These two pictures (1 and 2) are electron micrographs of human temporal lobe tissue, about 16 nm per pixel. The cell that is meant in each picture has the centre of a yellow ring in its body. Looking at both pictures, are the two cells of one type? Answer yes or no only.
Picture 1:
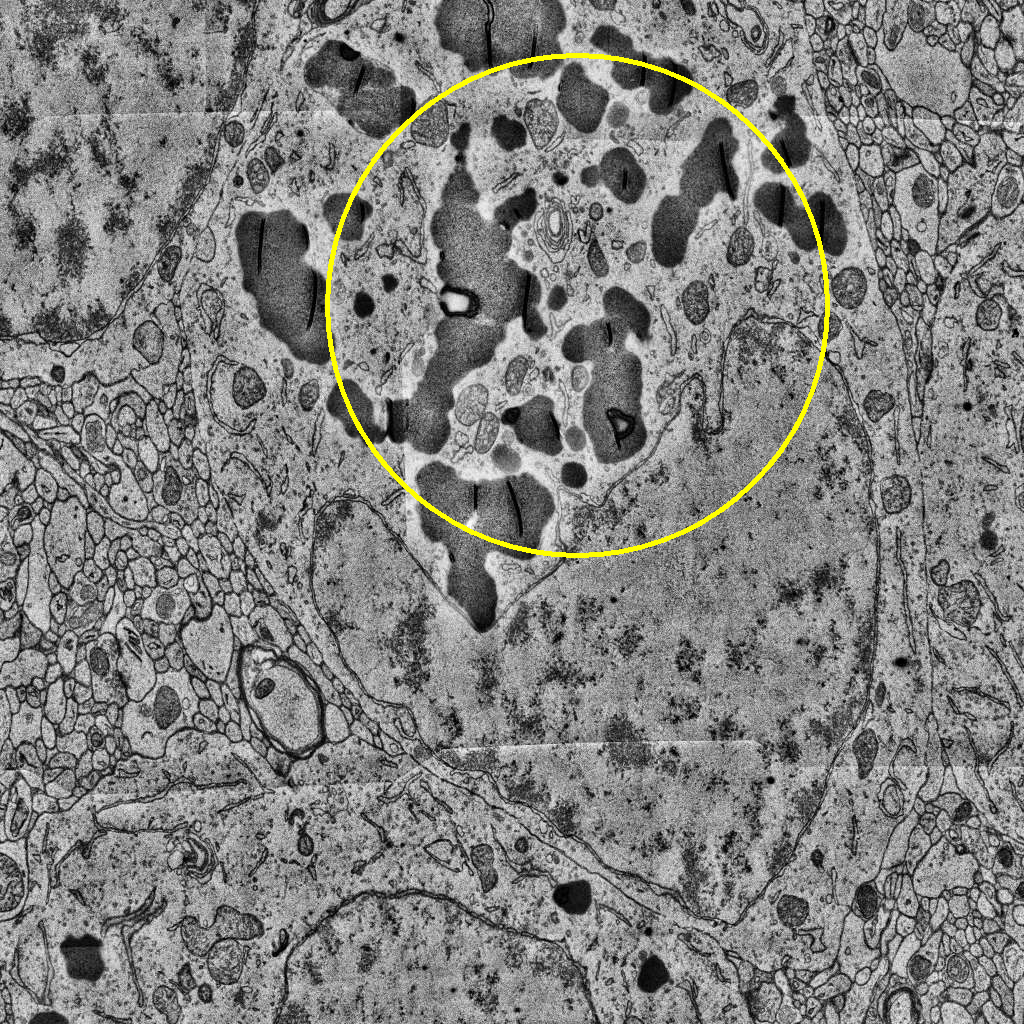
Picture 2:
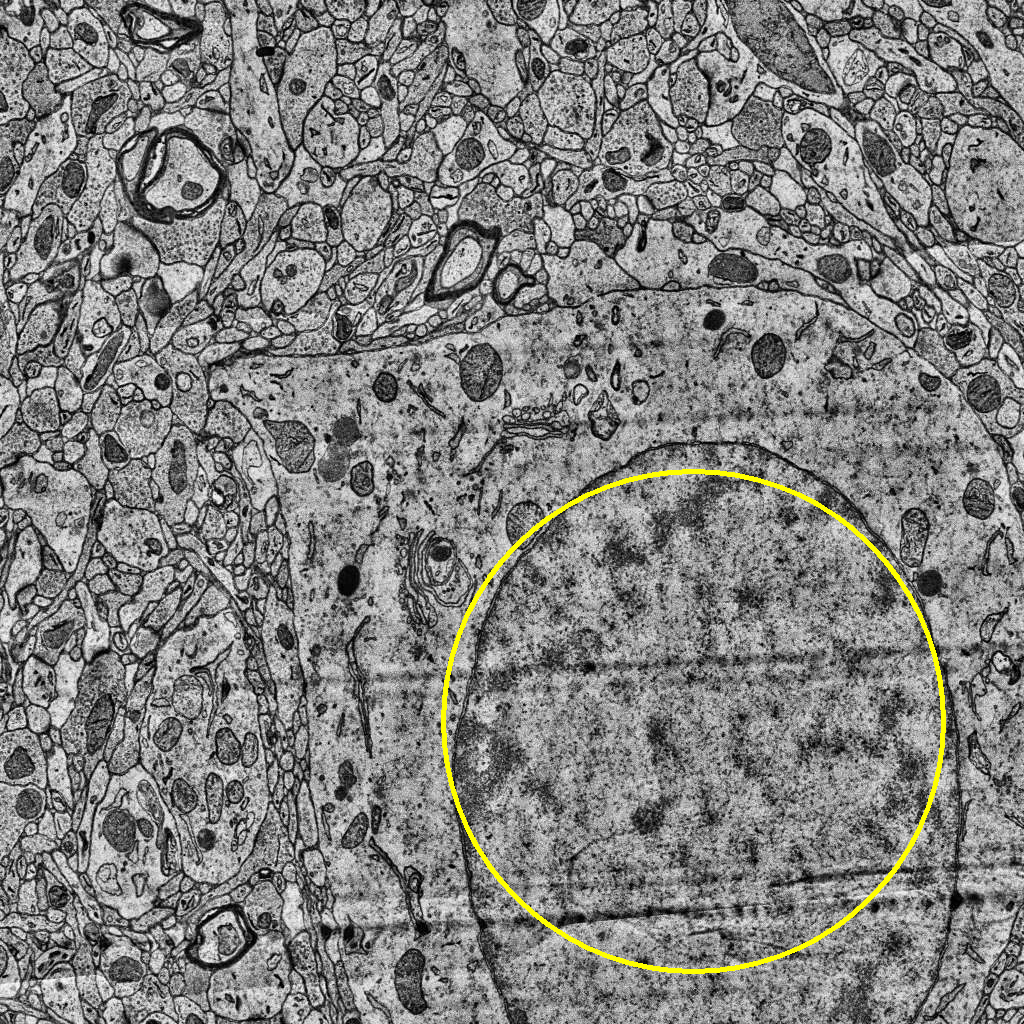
no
